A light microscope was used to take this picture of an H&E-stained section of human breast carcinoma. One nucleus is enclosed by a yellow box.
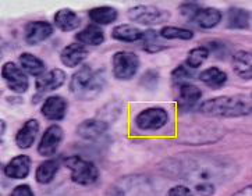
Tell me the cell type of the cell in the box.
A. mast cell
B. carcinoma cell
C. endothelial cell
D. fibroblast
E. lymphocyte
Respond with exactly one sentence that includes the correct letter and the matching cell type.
It is as option E has it, the cell in the box being a lymphocyte.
